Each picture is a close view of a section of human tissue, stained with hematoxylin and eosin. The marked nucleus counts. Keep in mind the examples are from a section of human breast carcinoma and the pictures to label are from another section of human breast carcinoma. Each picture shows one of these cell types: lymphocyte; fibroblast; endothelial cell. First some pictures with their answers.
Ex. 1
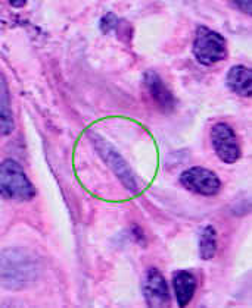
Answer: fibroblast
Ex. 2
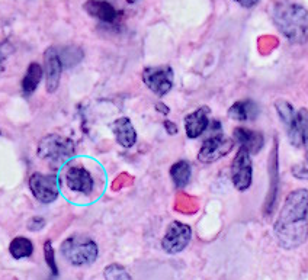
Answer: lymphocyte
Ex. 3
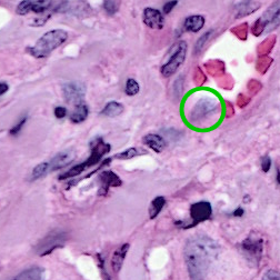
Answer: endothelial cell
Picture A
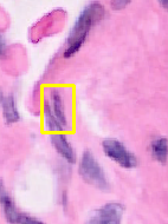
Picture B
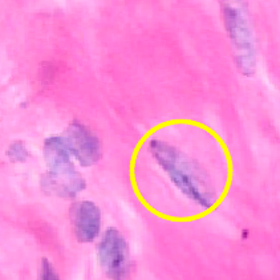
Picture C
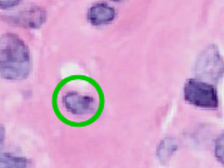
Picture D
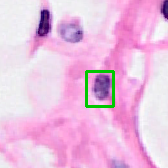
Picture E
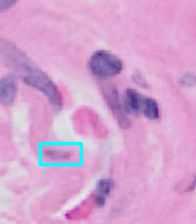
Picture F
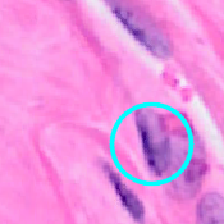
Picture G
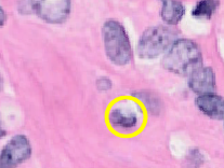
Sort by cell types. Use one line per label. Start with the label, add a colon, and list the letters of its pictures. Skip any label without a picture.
lymphocyte: D
fibroblast: B
endothelial cell: A, C, E, F, G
